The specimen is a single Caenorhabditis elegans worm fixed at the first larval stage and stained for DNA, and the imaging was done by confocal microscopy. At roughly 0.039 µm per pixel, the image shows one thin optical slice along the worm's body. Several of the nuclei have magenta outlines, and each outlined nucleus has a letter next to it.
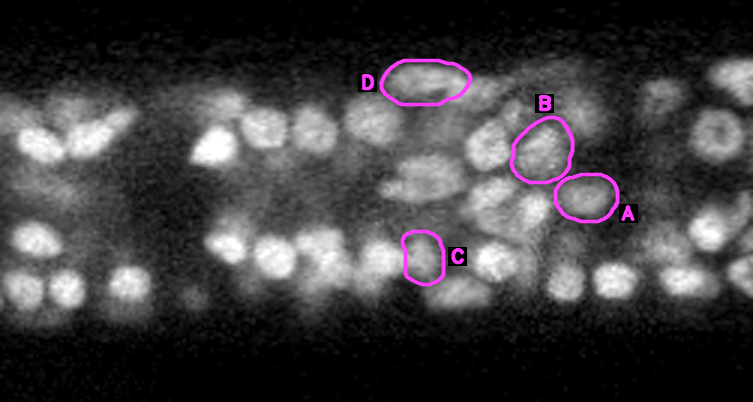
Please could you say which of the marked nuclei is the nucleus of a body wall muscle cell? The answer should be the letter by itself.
D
